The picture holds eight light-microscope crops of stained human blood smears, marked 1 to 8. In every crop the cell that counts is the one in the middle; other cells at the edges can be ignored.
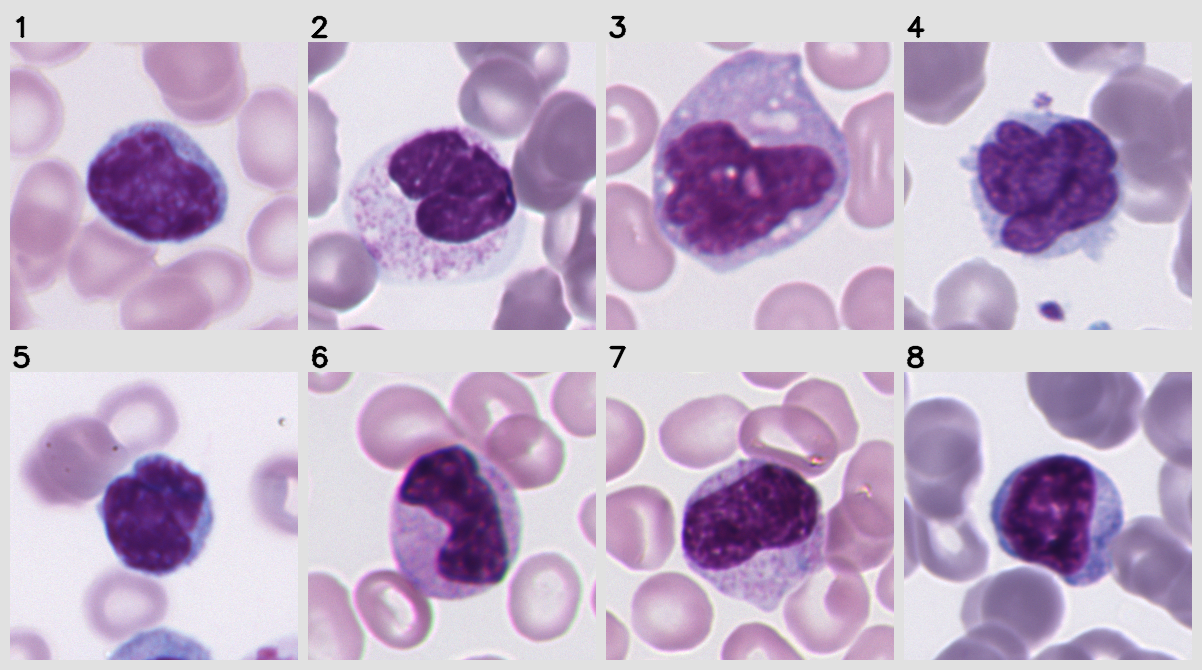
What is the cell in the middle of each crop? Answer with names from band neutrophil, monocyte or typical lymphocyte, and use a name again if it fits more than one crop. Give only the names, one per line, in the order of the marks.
typical lymphocyte
band neutrophil
monocyte
monocyte
typical lymphocyte
band neutrophil
band neutrophil
typical lymphocyte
